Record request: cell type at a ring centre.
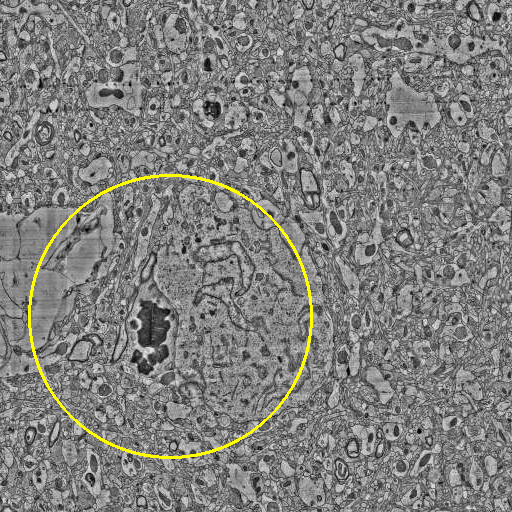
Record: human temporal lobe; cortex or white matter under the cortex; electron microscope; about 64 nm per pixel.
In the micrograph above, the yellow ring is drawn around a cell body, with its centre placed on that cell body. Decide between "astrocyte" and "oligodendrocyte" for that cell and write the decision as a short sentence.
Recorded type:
The cell centred in the yellow ring is an oligodendrocyte.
